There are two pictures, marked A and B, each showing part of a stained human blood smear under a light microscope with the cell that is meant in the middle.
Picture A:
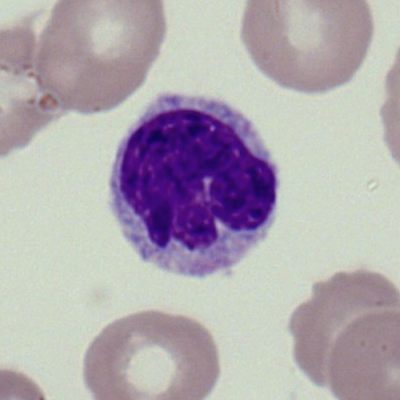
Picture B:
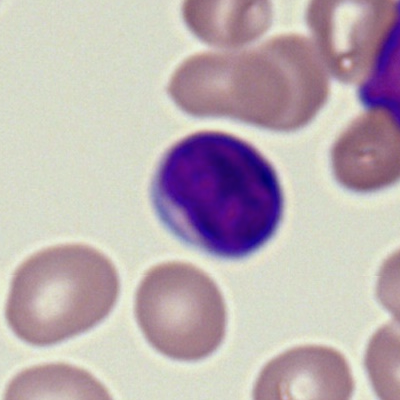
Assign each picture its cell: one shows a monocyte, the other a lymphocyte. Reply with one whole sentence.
In picture A the cell is a monocyte; in picture B, a lymphocyte.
